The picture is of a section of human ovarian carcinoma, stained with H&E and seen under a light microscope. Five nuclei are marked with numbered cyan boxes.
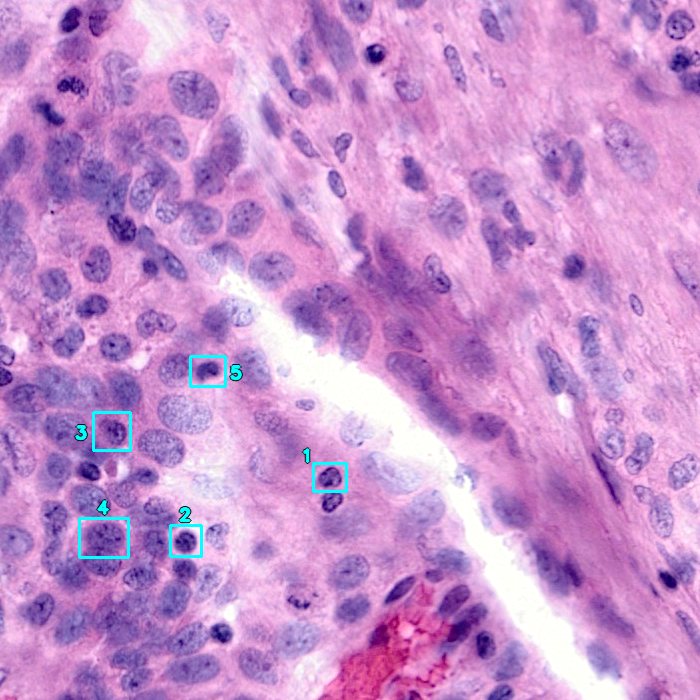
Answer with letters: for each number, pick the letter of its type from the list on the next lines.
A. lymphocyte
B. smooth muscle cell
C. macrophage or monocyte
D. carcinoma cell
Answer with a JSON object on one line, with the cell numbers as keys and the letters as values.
{"1": "A", "2": "A", "3": "C", "4": "D", "5": "A"}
